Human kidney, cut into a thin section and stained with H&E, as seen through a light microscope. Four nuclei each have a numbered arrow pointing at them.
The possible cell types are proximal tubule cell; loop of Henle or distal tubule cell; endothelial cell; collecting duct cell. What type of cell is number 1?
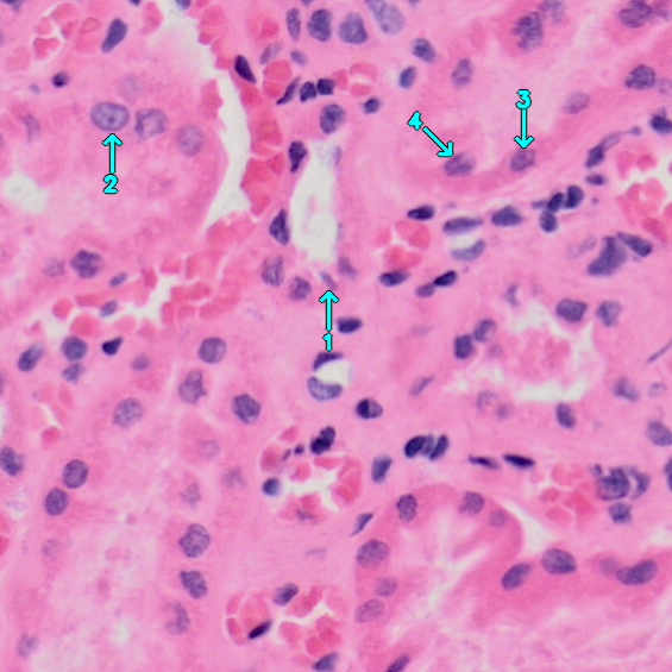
loop of Henle or distal tubule cell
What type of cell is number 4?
proximal tubule cell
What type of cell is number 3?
proximal tubule cell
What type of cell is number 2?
proximal tubule cell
